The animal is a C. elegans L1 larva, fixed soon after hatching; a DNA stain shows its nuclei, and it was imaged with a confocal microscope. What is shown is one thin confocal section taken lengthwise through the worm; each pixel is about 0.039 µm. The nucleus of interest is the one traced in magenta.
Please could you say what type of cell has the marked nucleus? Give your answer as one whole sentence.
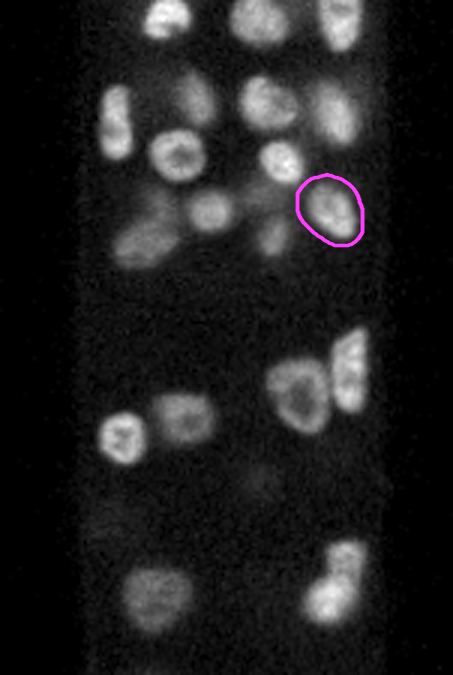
This is the nucleus of a body wall muscle cell.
